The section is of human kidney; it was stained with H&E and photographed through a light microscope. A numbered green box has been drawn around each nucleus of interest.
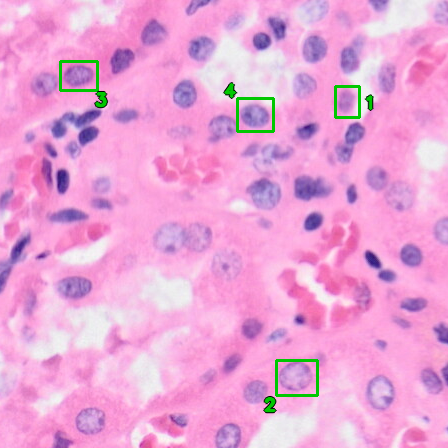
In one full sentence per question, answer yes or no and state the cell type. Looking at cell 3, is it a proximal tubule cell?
Yes, number 3 corresponds to a proximal tubule cell.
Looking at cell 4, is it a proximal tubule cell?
No, the cell marked 4 is a loop of Henle or distal tubule cell rather than a proximal tubule cell.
